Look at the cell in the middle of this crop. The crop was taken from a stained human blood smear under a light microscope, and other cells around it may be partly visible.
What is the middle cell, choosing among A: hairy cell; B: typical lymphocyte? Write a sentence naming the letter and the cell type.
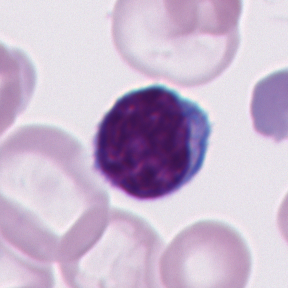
Option B is accurate; the centrally placed cell is a typical lymphocyte.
